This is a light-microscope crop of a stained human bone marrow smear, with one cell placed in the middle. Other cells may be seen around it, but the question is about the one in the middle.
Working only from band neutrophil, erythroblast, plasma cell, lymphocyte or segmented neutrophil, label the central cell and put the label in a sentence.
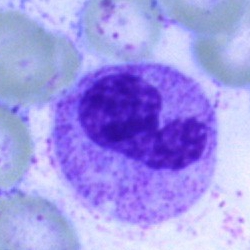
For this crop, the central cell is a band neutrophil.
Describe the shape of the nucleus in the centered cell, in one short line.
The nuclear material is gathered into one compact round, oval or kidney-shaped mass.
